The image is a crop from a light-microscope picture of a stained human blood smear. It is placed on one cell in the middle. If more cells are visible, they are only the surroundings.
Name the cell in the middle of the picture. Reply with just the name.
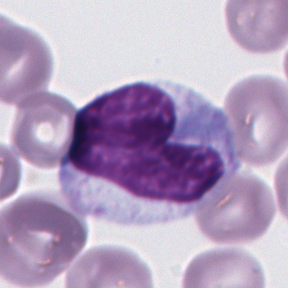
band neutrophil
